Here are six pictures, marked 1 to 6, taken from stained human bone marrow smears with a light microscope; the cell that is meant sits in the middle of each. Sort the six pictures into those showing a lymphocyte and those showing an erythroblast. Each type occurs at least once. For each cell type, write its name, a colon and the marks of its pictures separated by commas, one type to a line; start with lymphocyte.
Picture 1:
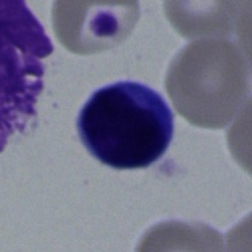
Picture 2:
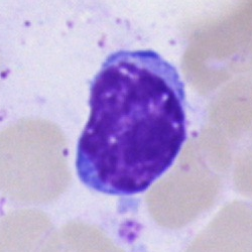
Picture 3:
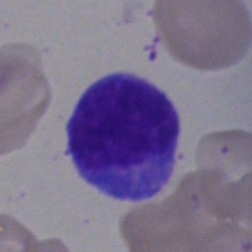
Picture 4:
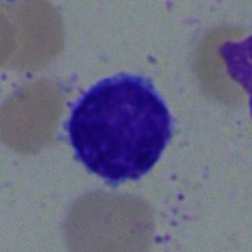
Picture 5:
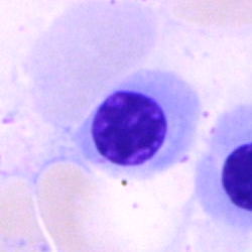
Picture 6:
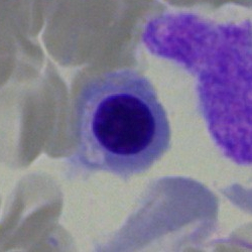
lymphocyte: 1, 2, 3, 4
erythroblast: 5, 6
